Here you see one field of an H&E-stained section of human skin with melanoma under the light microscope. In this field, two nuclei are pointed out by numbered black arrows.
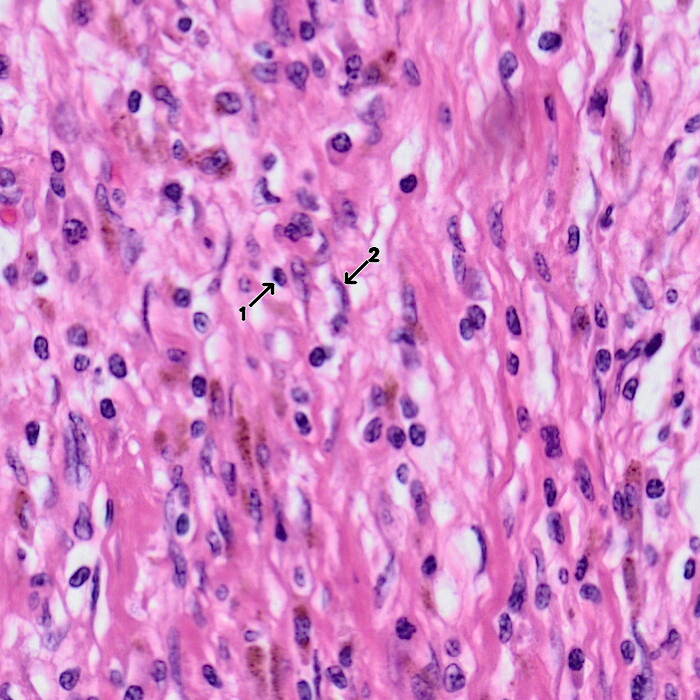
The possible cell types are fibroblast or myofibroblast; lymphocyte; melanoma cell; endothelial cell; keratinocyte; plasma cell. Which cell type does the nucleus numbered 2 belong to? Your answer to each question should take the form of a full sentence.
Nucleus 2 in this section belongs to a fibroblast or myofibroblast.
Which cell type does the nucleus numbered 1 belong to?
Recognised here as a lymphocyte is the cell numbered 1.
